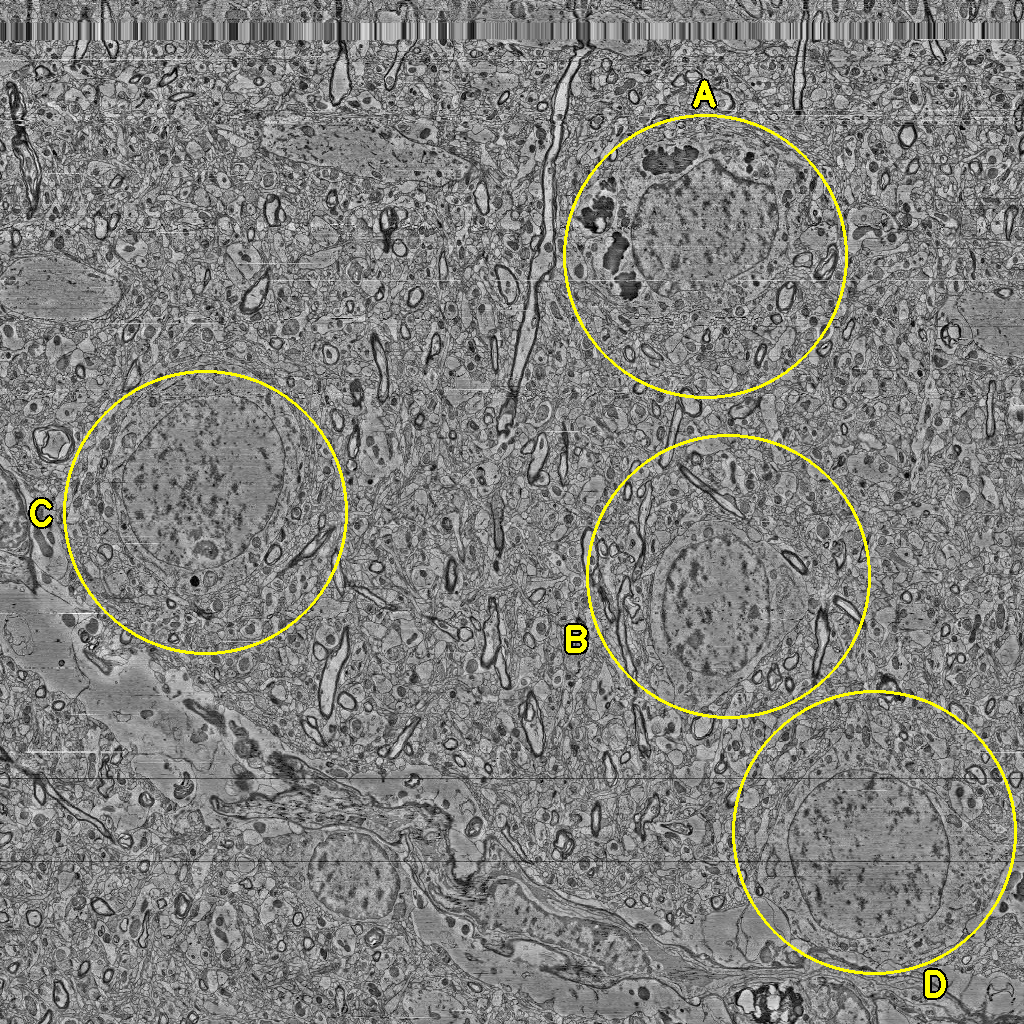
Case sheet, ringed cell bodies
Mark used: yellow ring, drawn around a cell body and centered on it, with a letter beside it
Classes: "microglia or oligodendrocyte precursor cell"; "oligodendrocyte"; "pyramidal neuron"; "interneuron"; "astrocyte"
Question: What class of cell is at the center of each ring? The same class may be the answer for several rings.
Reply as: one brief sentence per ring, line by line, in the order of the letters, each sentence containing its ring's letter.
Ring A has an interneuron at its center.
Ring B has an interneuron at its center.
Ring C has a pyramidal neuron at its center.
Ring D has a pyramidal neuron at its center.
